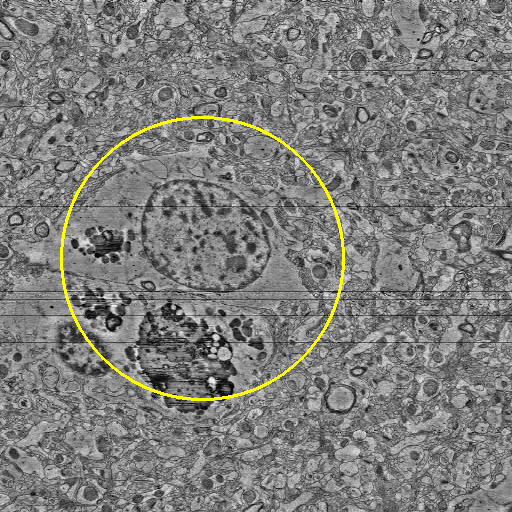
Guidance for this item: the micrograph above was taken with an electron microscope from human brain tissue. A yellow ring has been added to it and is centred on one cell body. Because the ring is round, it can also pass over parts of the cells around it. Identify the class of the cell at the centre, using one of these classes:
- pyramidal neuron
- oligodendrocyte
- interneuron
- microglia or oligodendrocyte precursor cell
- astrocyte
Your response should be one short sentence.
The ring surrounds the body of an astrocyte.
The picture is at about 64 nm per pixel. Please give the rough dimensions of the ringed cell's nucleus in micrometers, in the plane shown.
The nucleus is approximately 9 micrometers long by 7 micrometers wide in this plane.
